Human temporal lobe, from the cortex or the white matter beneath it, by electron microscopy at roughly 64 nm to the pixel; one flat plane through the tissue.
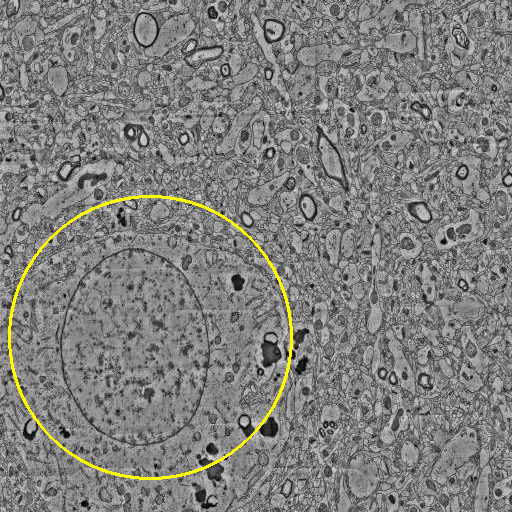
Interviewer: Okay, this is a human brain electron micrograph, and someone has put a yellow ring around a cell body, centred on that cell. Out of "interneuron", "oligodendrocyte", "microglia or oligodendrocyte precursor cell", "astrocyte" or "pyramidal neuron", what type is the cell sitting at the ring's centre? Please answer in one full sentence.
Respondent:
The cell at the centre of the yellow ring in this picture is a pyramidal neuron.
